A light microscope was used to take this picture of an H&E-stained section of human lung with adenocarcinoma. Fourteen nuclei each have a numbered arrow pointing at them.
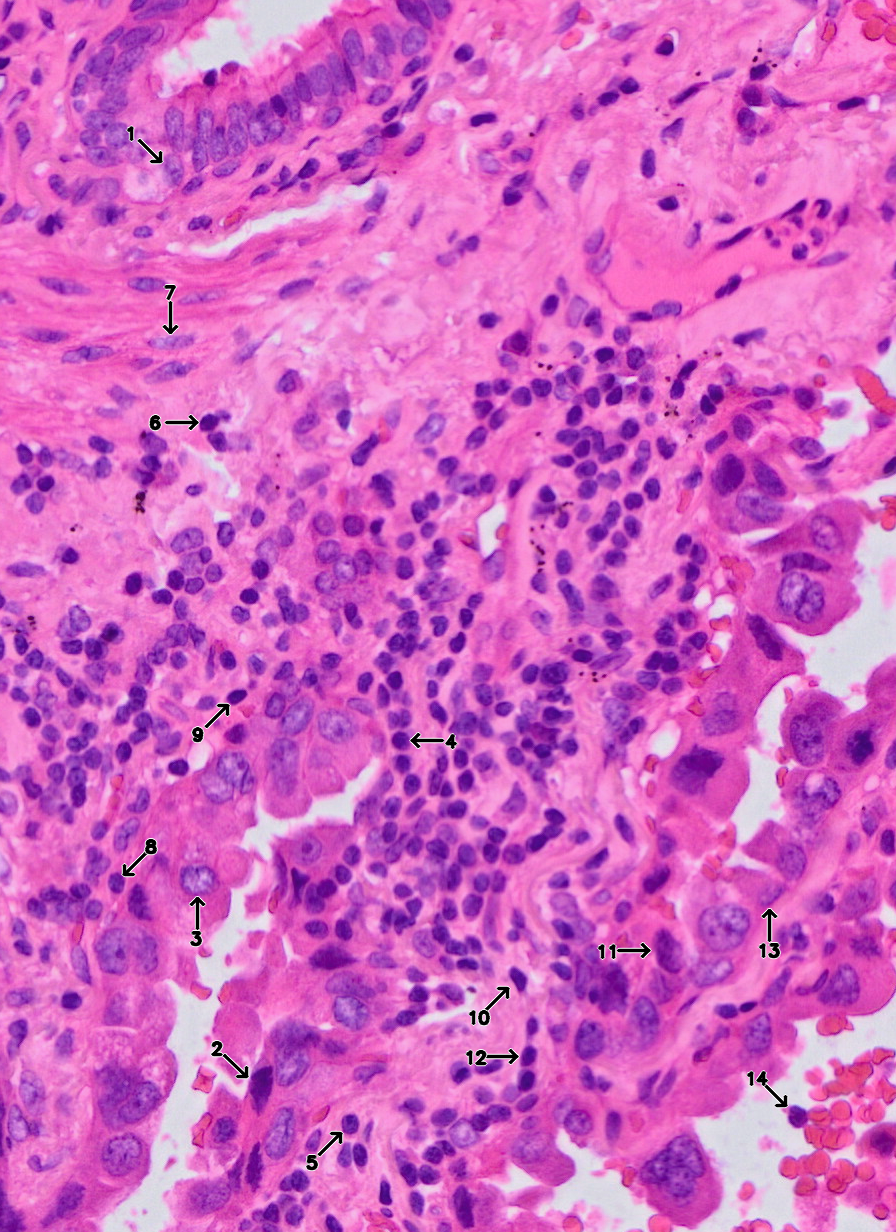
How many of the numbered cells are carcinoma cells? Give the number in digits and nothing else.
4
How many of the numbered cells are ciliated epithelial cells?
1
